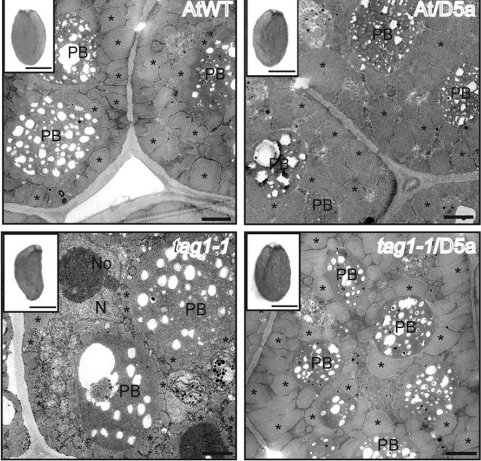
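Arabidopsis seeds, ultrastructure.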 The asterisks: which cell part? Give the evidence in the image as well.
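The asterisks sit on small, round, evenly grey bodies that pack the cytoplasm. That points to this answer: lipid droplets.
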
